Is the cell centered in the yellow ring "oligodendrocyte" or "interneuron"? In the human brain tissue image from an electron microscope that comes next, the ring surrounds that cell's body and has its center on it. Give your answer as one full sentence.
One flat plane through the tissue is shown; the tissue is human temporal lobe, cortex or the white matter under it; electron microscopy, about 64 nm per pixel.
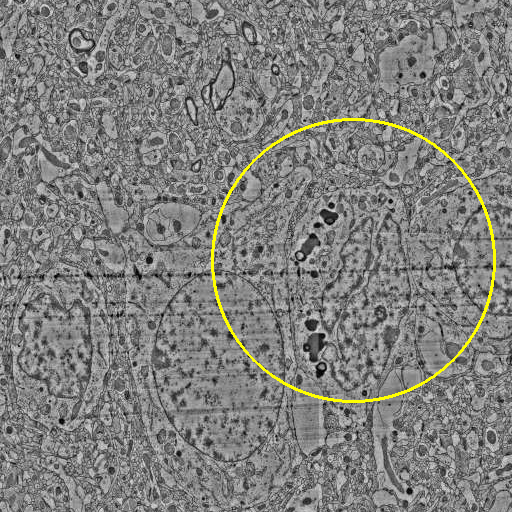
The cell at the center of the yellow ring is an interneuron in the micrograph.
